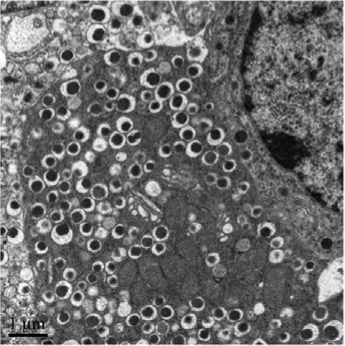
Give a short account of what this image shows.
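This electron micrograph shows part of a pancreatic beta cell whose cytoplasm is densely filled with round secretory granules, many having a dark, dense core surrounded by a clear halo, with some paler granules among them. Part of the nucleus, with clumps of dark heterochromatin, lies at the upper right, and mitochondria are scattered between the granules.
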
